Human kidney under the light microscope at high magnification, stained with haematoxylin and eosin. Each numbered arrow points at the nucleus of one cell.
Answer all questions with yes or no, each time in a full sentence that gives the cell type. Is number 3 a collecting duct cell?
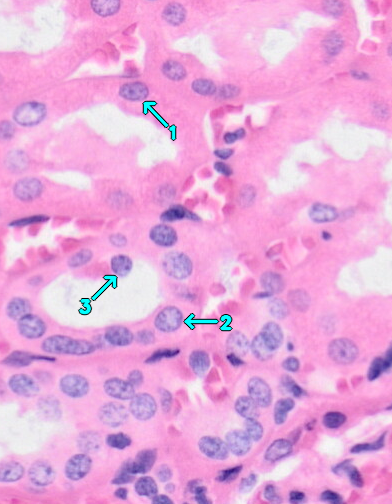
Yes, in this tissue section, number 3 is a collecting duct cell.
